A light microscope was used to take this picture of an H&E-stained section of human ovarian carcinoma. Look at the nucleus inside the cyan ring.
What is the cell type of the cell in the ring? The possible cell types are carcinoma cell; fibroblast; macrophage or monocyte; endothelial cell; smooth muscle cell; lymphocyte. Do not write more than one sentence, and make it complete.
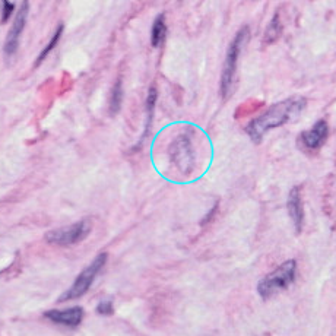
The correct response here is that the cell in the ring is a fibroblast.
